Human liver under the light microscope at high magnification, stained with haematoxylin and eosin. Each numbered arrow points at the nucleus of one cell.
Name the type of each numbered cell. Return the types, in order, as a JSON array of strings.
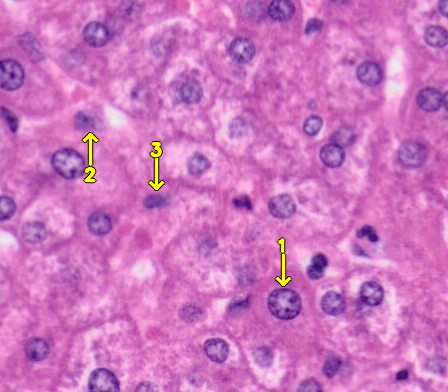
["hepatocyte", "Kupffer cell", "fibroblast or stellate cell"]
